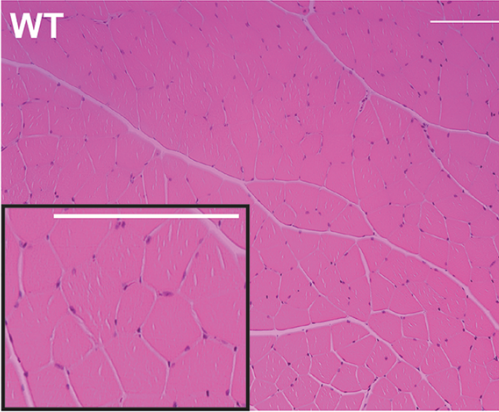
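This is skeletal muscle cut across, showing the muscle fibers as closely packed polygonal profiles with evenly pink cytoplasm. Their small, dark purple nuclei lie at the edge of each fiber, pressed against the border rather than in the middle. Thin pale strands of connective tissue run between the fibers, and broader pale bands divide them into bundles. The fibers vary somewhat in size but are mostly similar. The enlarged inset shows the peripheral nuclei and the thin spaces between neighbouring fibers more clearly. No obvious scarring or dead fibers are seen.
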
